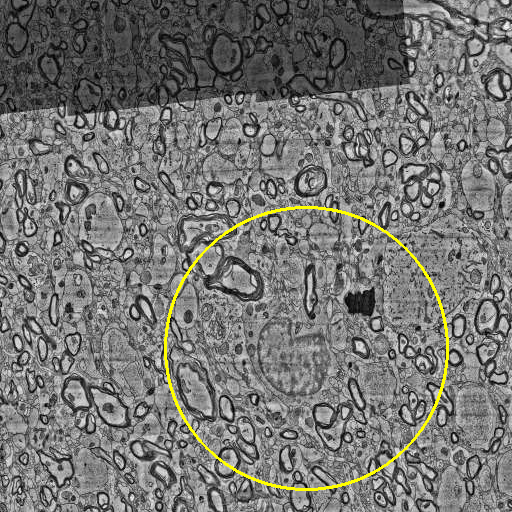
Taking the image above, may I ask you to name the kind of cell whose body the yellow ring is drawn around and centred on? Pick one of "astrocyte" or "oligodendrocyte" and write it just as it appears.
oligodendrocyte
